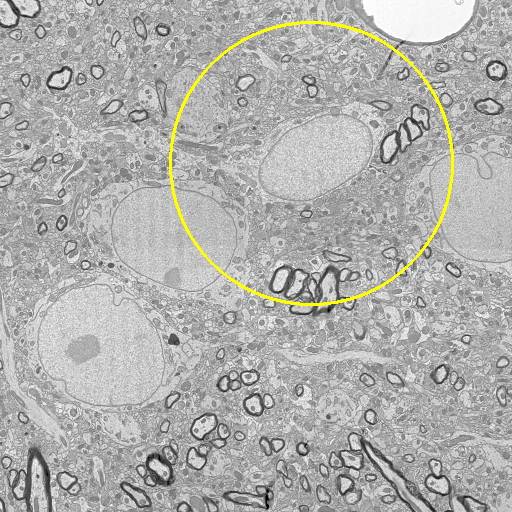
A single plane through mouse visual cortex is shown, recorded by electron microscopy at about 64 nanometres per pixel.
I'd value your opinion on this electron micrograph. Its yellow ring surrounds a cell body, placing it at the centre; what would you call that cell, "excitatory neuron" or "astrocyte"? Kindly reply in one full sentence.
It is an astrocyte that sits centred within the yellow ring in this micrograph.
